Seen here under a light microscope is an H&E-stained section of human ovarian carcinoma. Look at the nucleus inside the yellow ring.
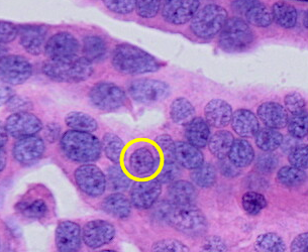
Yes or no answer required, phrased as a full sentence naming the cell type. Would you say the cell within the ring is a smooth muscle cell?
No, in this tissue section, the cell within the ring is not a smooth muscle cell but a carcinoma cell.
